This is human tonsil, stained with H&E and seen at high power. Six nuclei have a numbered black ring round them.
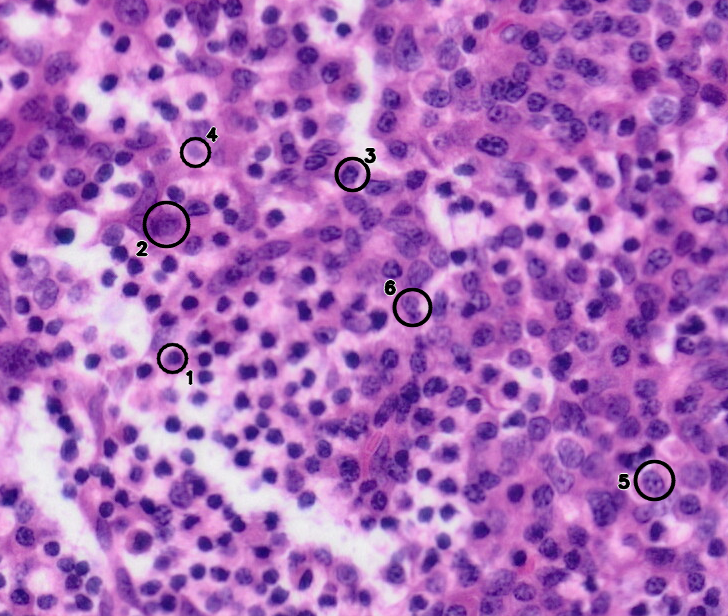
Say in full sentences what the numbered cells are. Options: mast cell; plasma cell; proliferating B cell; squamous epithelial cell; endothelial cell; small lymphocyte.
Cell 1 is a plasma cell, cell 2 is a squamous epithelial cell, cell 3 is a plasma cell, cell 4 is a squamous epithelial cell, cell 5 is a plasma cell and cell 6 is a plasma cell.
